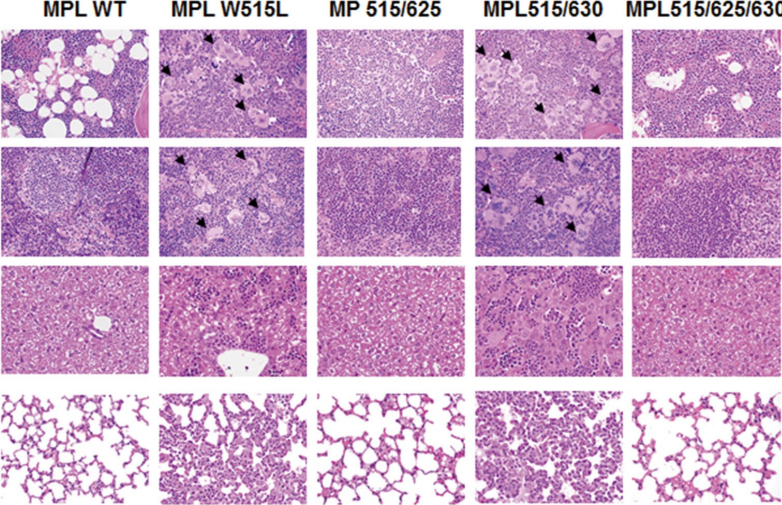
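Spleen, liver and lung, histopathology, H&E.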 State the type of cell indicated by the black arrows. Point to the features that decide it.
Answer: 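The arrowed cells are much larger than the surrounding blood-forming cells. The arrowed cells have abundant pink cytoplasm. Several arrowed cells lie together in clusters within densely cellular marrow and spleen.
Megakaryocytes.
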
